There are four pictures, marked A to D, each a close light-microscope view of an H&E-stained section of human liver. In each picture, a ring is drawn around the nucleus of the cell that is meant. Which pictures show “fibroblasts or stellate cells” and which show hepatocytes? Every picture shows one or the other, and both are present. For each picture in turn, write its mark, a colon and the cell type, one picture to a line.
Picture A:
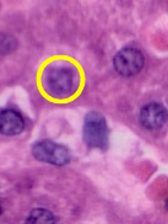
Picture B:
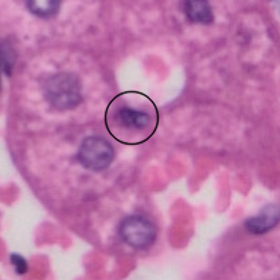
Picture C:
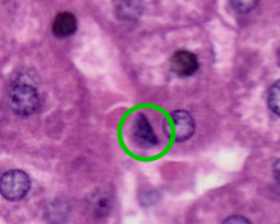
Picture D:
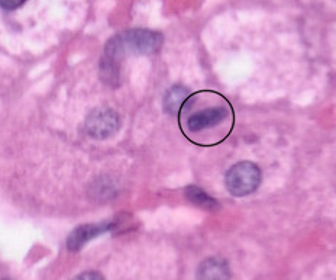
A: hepatocyte
B: fibroblast or stellate cell
C: fibroblast or stellate cell
D: fibroblast or stellate cell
